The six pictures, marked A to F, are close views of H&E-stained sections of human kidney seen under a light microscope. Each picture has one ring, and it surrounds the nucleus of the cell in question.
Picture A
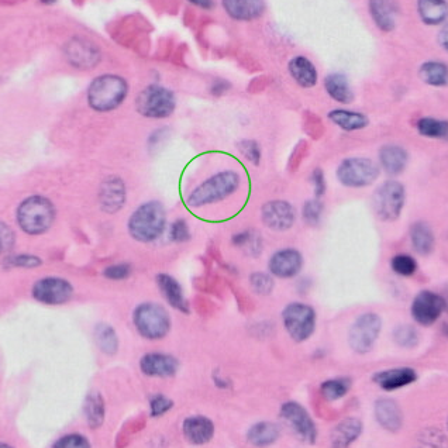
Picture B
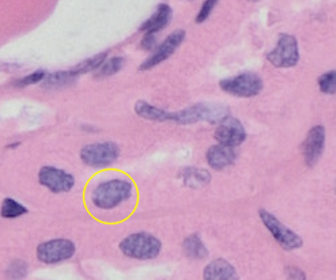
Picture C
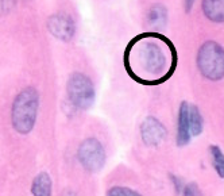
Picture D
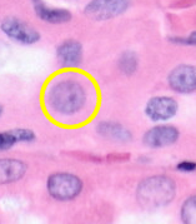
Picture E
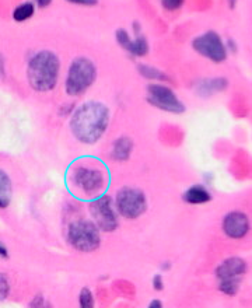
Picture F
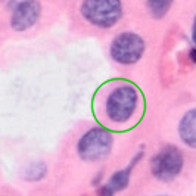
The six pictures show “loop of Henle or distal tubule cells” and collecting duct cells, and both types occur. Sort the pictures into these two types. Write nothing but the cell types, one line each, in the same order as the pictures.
collecting duct cell
loop of Henle or distal tubule cell
loop of Henle or distal tubule cell
loop of Henle or distal tubule cell
collecting duct cell
loop of Henle or distal tubule cell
